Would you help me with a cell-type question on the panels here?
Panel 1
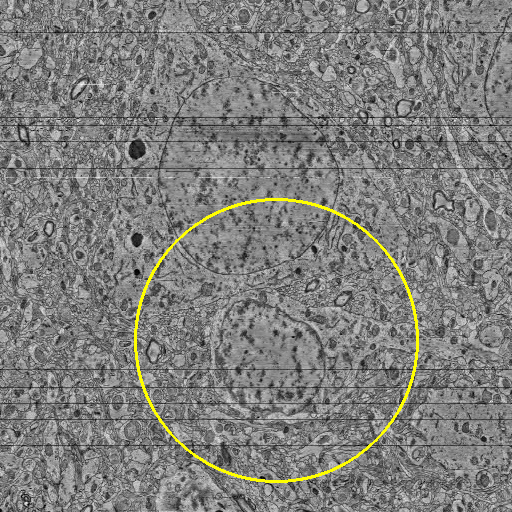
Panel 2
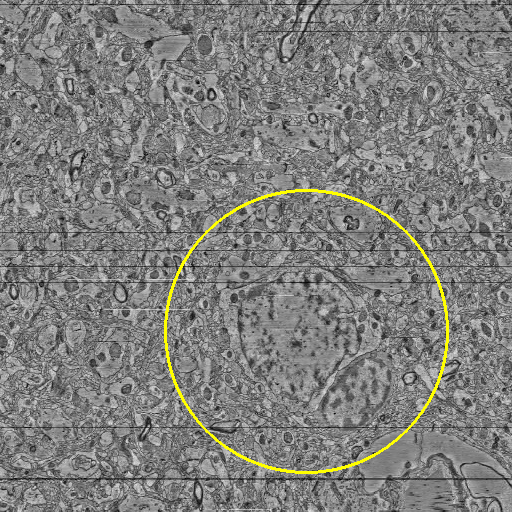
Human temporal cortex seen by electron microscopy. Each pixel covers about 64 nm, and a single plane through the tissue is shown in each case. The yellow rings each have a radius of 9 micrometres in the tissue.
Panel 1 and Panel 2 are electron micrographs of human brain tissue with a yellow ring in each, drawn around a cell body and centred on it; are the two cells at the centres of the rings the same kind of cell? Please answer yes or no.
yes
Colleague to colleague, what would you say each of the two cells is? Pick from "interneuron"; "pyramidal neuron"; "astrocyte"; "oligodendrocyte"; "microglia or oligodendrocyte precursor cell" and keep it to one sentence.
In each of the two pictures, the ringed cell is an interneuron.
